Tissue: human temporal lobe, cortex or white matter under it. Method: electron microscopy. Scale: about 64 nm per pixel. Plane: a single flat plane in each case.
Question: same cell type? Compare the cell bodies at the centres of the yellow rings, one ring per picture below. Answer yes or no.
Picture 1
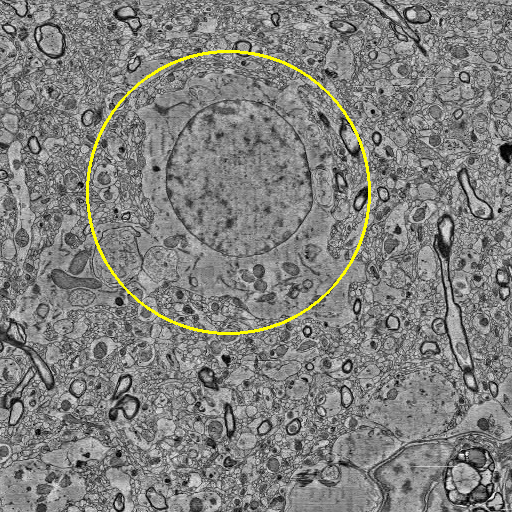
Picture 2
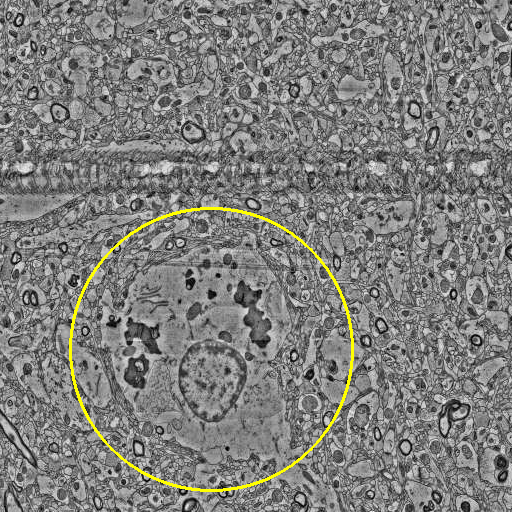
yes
